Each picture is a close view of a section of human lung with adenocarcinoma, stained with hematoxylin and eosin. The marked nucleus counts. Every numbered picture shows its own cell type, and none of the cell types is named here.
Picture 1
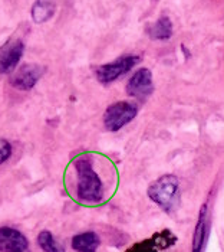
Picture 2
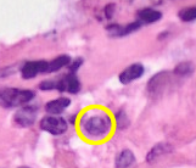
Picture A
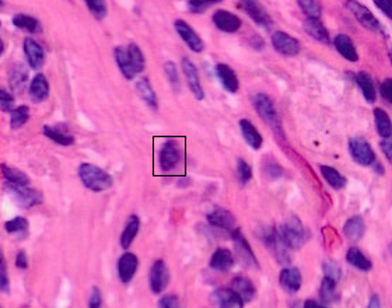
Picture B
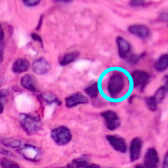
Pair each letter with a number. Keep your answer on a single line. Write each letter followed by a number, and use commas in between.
A 1, B 1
